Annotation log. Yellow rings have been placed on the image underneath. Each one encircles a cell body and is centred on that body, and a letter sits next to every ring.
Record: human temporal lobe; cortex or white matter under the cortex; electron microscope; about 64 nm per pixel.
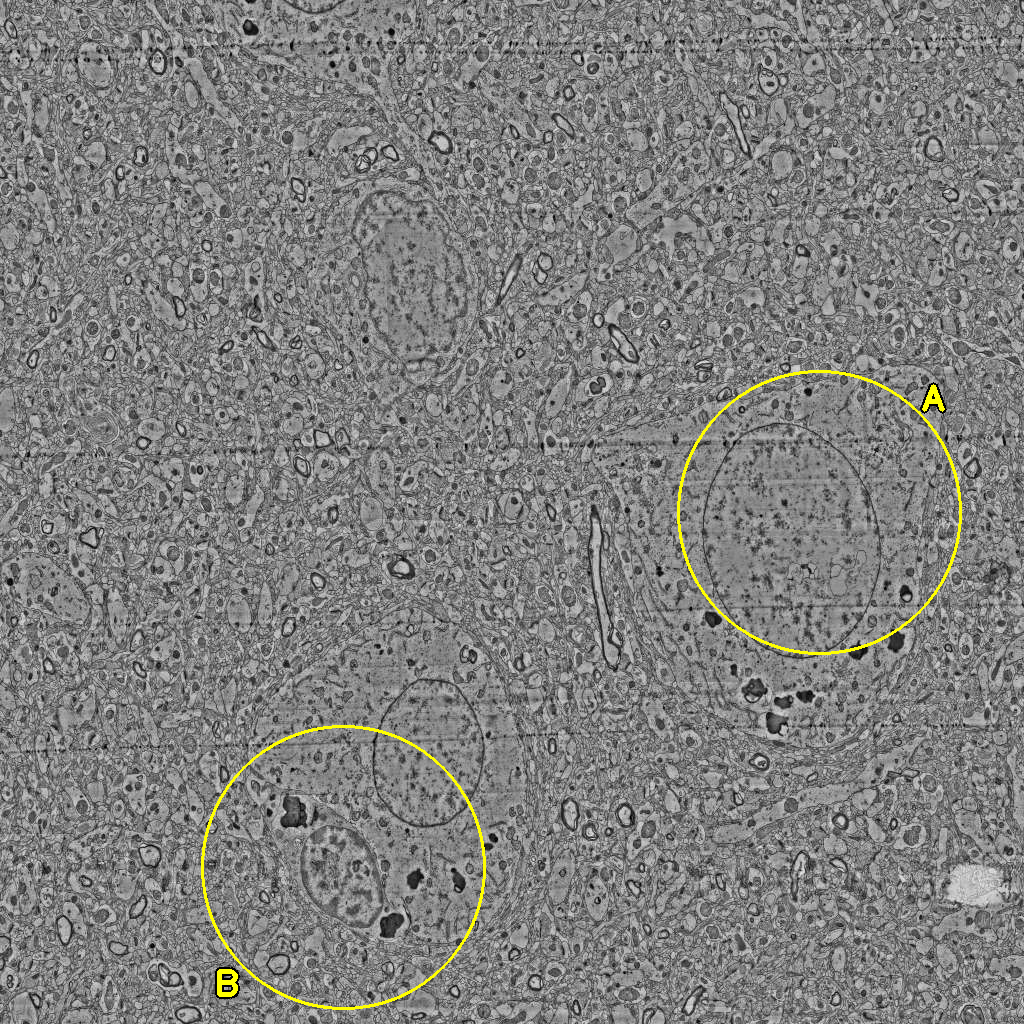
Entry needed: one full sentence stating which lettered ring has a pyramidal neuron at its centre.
The cell asked for sits at the centre of Ring A in the picture.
